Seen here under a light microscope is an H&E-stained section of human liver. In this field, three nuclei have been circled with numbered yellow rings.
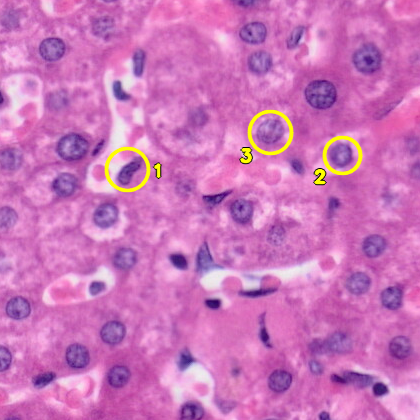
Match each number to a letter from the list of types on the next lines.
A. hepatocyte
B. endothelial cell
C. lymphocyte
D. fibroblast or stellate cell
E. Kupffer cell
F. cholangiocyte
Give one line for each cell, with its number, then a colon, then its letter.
1: E
2: A
3: A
